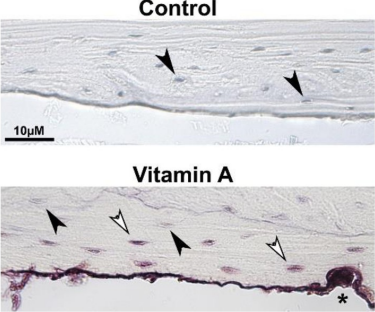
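These are thin sections of bone, with osteocytes lying singly in the matrix. In the upper image the matrix and the cells are pale, with only faint grey nuclei. In the lower image many osteocytes are surrounded by pink-purple staining. A dark purple rim runs along the lower bone surface there, and a large, intensely dark cell is attached to that surface at the right, the shape of an osteoclast.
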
